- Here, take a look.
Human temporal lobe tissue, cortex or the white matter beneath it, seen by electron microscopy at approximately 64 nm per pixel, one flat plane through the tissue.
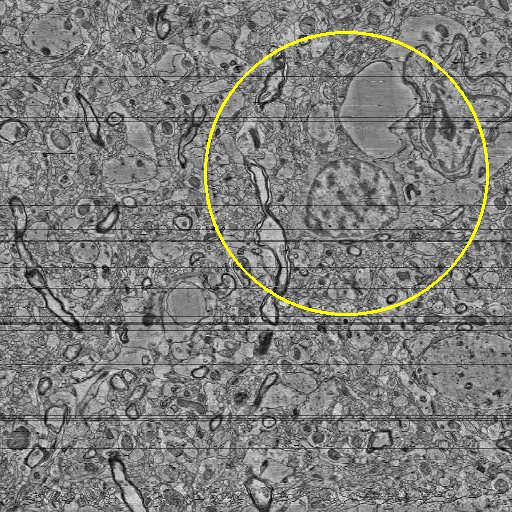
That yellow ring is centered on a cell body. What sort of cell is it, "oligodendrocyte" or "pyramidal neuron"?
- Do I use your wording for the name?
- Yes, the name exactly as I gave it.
oligodendrocyte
